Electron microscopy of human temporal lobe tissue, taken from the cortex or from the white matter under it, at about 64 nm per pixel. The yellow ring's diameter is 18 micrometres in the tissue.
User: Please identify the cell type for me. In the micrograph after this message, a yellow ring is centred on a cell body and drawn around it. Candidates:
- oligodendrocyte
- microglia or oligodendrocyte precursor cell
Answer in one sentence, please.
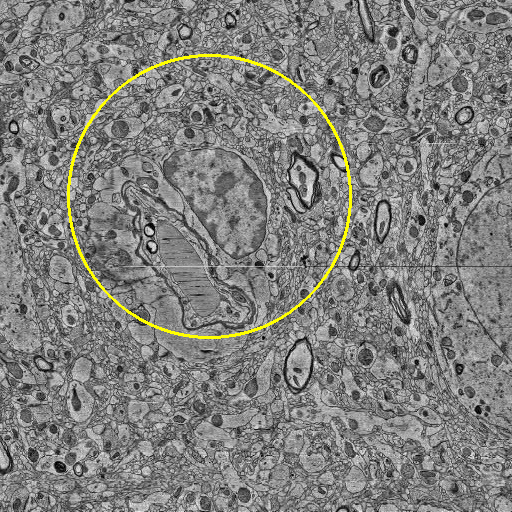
The ring is drawn around the cell body of a microglial cell or oligodendrocyte precursor cell.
